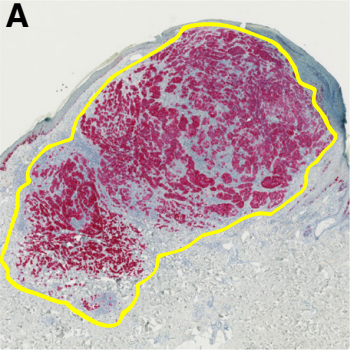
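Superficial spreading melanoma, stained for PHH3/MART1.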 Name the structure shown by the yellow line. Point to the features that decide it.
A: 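Global tumor. A yellow line encloses a large dermal mass of densely red-stained cell nests. The thin bluish surface layer at the top lies partly outside the enclosed mass.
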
